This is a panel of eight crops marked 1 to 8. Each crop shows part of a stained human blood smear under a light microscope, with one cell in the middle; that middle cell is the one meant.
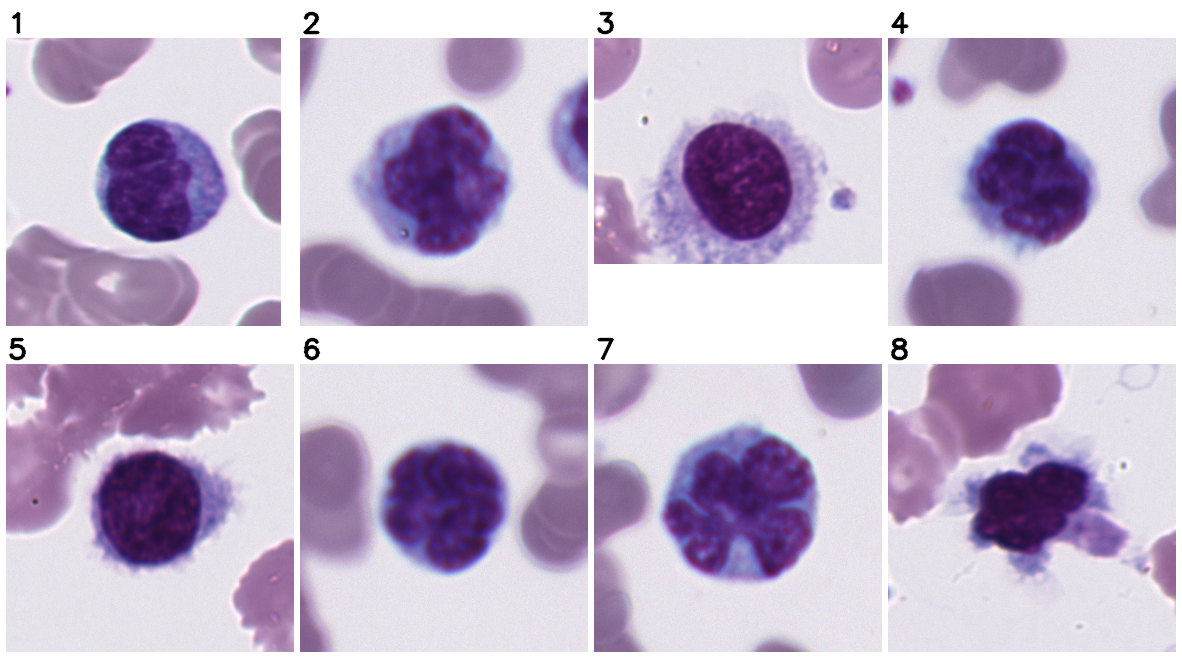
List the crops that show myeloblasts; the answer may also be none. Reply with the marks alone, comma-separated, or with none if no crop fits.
none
